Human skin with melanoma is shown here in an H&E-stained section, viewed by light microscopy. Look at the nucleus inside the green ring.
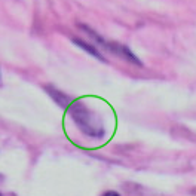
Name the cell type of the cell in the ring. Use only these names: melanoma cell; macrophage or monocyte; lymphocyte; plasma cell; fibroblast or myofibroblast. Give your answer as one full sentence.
The cell in the ring is a fibroblast or myofibroblast.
